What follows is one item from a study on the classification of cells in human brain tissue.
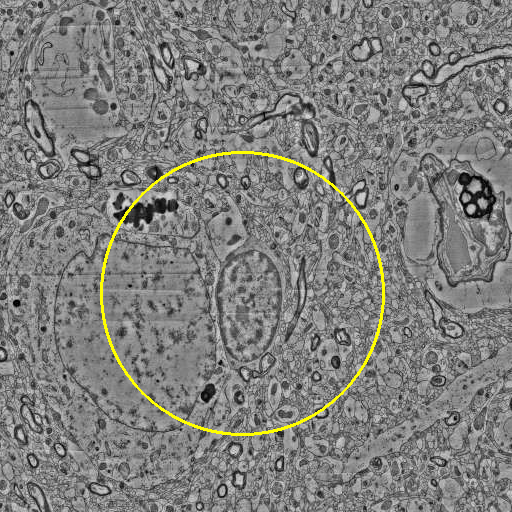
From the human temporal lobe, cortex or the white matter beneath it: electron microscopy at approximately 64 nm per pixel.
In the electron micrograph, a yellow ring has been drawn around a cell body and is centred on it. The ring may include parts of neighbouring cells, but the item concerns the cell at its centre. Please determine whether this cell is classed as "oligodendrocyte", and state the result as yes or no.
yes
